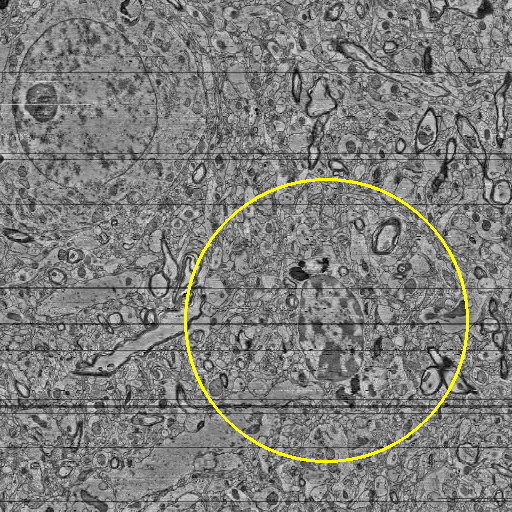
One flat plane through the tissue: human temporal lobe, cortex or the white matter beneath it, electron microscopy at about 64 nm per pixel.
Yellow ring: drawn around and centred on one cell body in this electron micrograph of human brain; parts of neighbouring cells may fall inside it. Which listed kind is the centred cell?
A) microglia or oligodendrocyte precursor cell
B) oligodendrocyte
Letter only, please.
A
